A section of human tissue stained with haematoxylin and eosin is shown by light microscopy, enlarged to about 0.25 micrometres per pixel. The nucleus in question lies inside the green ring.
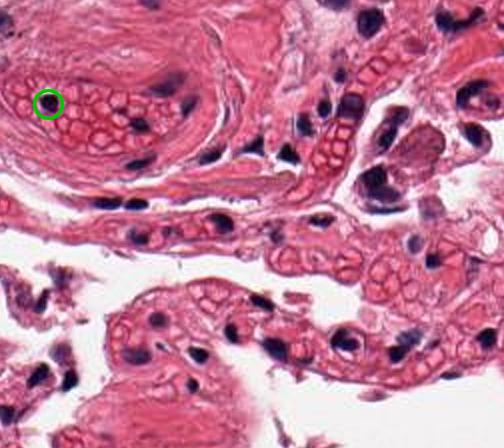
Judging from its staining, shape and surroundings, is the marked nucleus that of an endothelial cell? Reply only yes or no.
no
